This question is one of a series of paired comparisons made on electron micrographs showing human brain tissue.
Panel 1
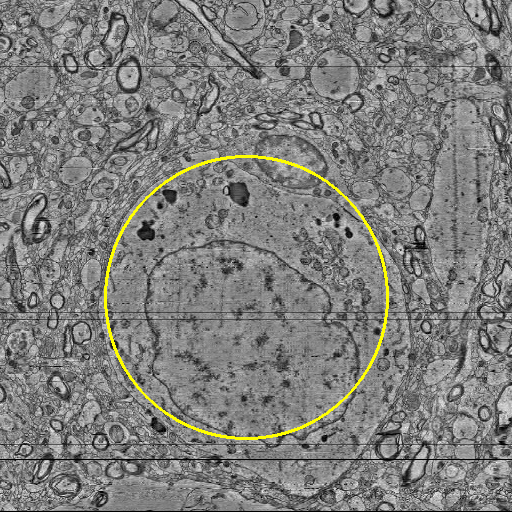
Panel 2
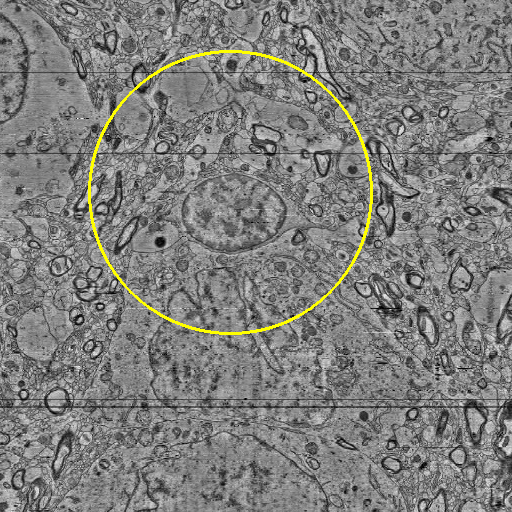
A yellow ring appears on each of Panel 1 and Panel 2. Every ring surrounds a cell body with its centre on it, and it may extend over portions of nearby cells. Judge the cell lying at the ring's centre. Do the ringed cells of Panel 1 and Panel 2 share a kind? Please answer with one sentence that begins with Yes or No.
No, the ring-centre cell in Panel 1 and the one in Panel 2 are of two kinds.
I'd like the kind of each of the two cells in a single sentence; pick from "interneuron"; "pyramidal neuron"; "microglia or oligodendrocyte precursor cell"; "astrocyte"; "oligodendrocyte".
The first ring marks a pyramidal neuron, and the second ring marks an oligodendrocyte.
